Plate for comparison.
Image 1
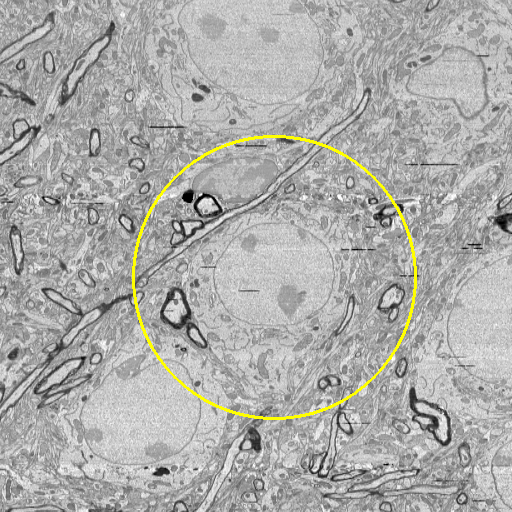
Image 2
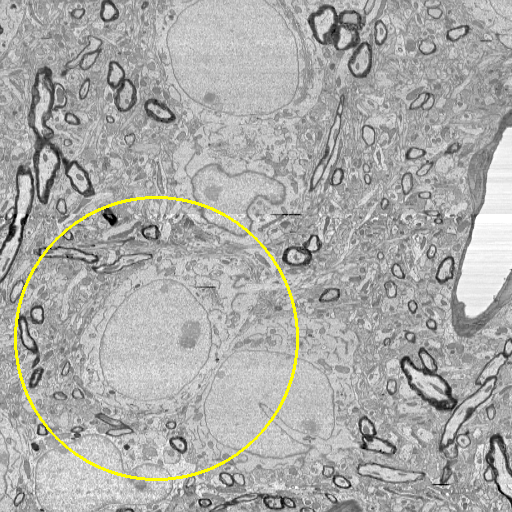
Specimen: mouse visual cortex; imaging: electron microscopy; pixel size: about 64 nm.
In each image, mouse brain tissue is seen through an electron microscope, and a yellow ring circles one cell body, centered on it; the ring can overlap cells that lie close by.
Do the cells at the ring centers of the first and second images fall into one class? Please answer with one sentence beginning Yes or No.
Yes, the first and second images show a single class of cell at the ring centers.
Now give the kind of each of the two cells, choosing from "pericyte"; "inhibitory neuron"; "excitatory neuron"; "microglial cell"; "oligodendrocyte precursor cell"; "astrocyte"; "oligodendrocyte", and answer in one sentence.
In the first picture and in the second, the ring is centred on an excitatory neuron.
